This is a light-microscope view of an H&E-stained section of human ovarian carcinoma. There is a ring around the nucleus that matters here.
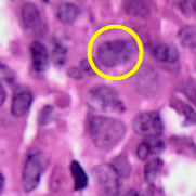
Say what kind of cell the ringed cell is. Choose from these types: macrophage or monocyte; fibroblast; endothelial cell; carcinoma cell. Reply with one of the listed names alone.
carcinoma cell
